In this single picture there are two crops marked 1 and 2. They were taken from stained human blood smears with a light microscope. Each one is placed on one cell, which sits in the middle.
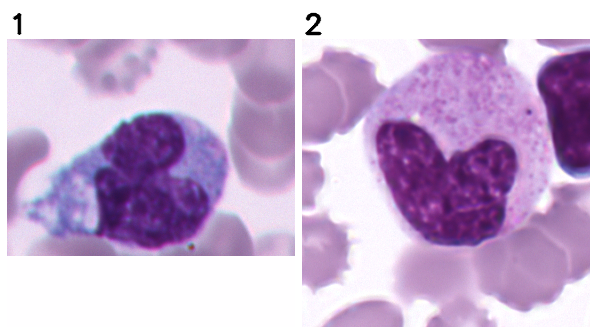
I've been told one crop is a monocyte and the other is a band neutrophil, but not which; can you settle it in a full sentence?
Crop 1 is a monocyte, and crop 2 is a band neutrophil.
